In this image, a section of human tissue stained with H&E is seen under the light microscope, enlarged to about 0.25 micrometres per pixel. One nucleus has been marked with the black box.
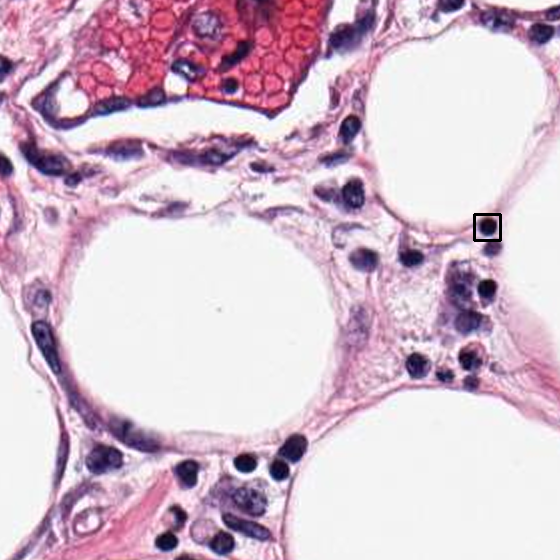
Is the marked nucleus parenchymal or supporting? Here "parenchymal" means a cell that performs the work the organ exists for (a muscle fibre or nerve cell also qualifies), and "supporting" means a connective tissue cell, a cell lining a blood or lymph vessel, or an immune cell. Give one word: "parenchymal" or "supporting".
supporting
